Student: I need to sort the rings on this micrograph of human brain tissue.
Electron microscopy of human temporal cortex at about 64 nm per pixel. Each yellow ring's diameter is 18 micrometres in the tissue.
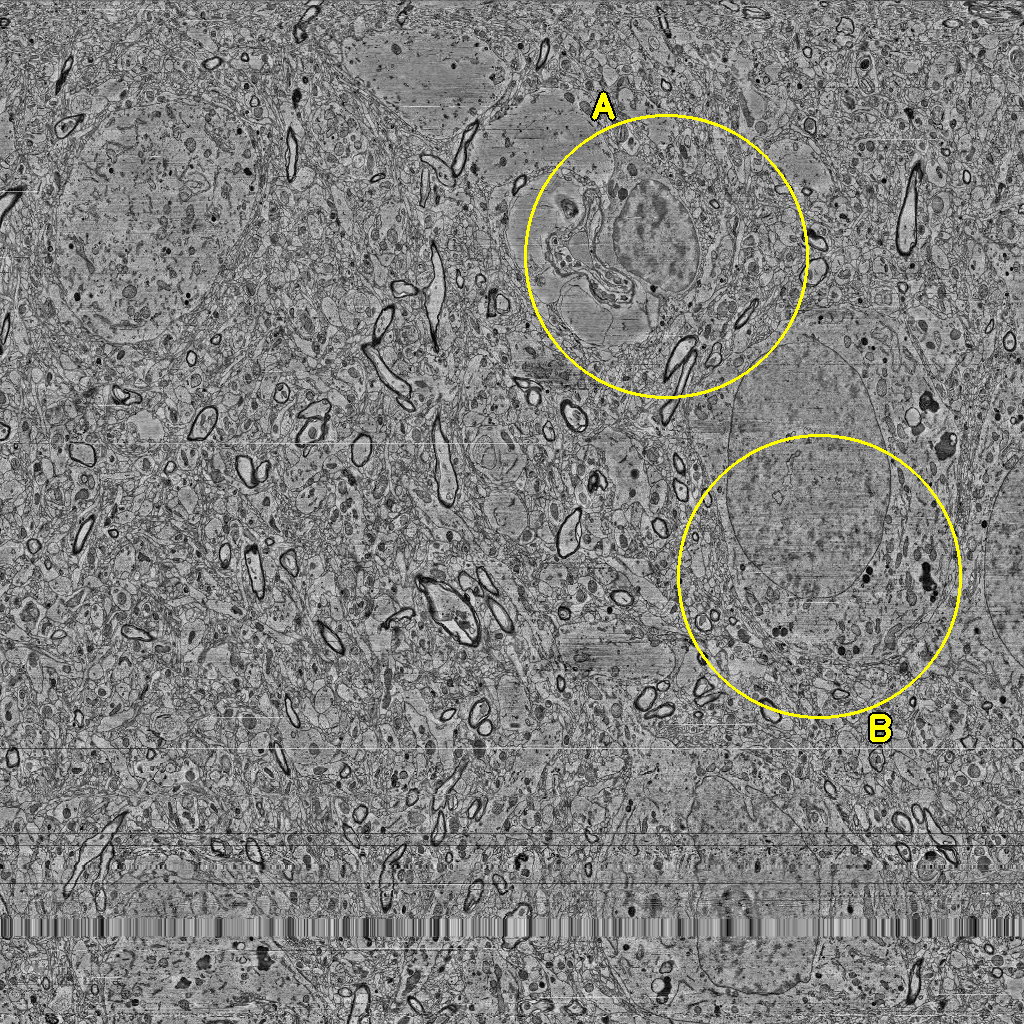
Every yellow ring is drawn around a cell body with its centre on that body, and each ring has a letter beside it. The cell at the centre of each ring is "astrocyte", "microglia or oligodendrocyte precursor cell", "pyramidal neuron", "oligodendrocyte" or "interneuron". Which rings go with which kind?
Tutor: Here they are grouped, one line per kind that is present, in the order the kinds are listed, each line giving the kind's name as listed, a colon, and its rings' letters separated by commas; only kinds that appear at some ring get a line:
pyramidal neuron: B
oligodendrocyte: A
